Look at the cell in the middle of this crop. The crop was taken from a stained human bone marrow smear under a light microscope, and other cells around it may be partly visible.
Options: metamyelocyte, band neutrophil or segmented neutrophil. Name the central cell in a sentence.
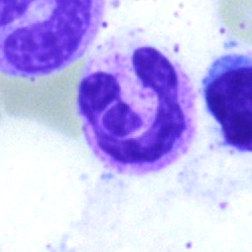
The cell at the middle of the frame should be recorded as a segmented neutrophil.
